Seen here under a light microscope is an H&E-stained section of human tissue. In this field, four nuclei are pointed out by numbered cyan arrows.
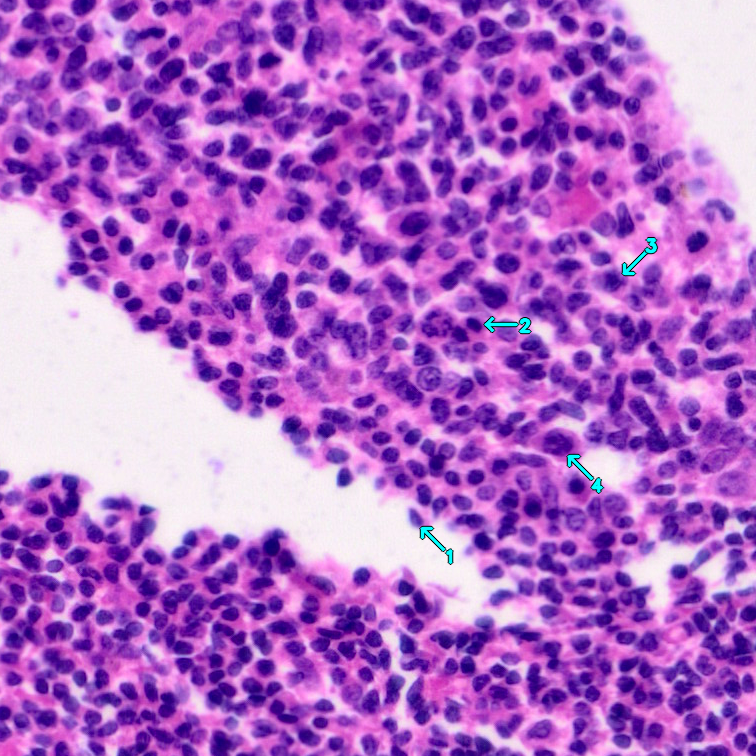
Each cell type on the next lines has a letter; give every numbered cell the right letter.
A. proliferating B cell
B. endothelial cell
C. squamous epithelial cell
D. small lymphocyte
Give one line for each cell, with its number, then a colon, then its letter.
1: D
2: A
3: A
4: A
